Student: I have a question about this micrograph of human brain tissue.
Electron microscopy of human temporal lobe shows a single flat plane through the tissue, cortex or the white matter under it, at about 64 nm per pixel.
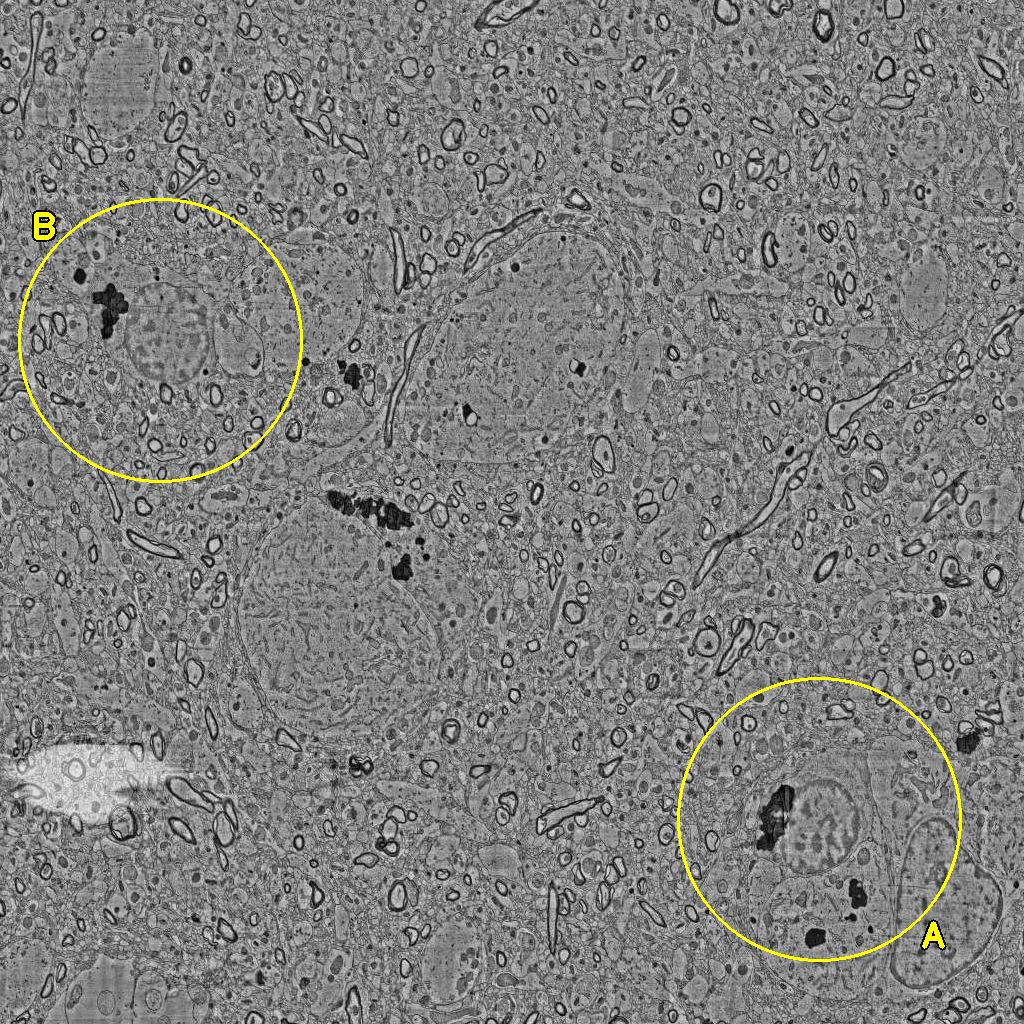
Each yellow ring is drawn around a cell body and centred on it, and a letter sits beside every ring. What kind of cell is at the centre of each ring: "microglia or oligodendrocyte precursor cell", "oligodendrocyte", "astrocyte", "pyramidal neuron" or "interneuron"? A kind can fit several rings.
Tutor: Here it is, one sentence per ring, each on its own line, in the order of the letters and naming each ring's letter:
For ring A, the cell at the centre is an oligodendrocyte.
For ring B, the cell at the centre is an oligodendrocyte.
